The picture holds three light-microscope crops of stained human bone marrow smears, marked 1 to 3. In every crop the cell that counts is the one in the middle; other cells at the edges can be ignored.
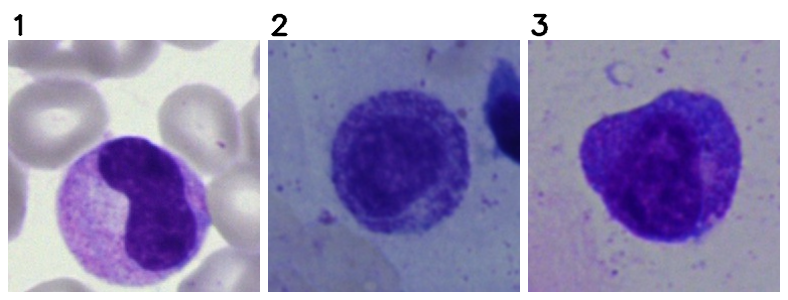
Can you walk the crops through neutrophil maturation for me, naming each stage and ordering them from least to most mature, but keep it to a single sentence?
Taken from least to most mature, the sequence is crop 3 (a promyelocyte), crop 2 (a myelocyte) and crop 1 (a band neutrophil).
